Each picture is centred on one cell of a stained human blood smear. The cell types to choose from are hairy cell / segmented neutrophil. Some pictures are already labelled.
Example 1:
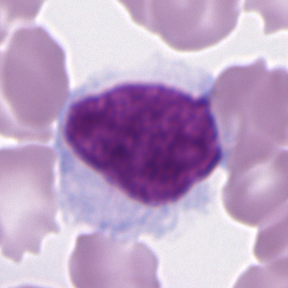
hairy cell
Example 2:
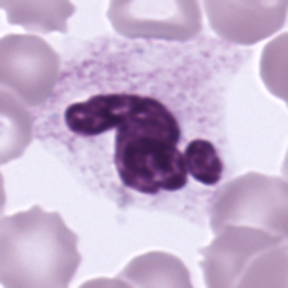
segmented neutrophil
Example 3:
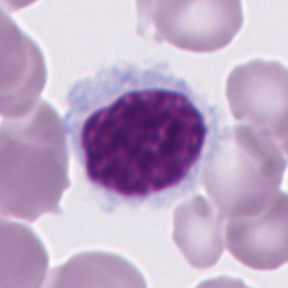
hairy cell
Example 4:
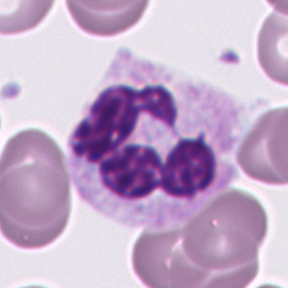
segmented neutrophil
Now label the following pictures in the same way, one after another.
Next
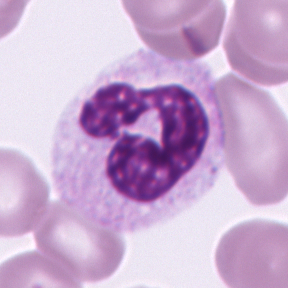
segmented neutrophil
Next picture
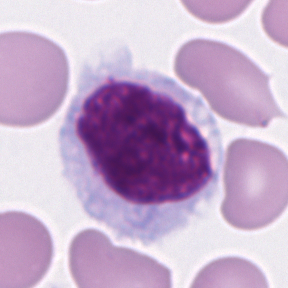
hairy cell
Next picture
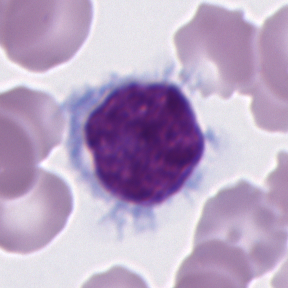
hairy cell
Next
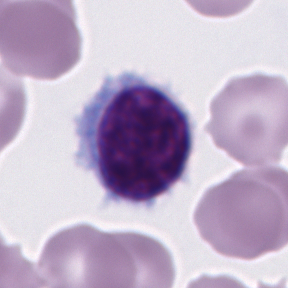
hairy cell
